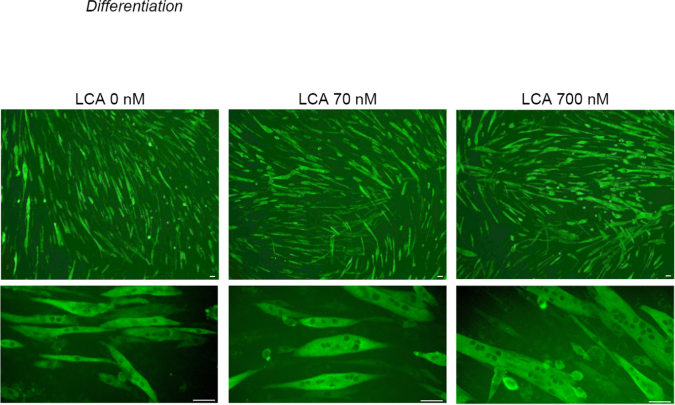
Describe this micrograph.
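These are cultured skeletal muscle myotubes: long, spindle-shaped cells whose cytoplasm is filled evenly with green fluorescence. At low magnification they lie in dense, roughly parallel streams across the dish. At high magnification the nuclei show as dark, unstained oval holes inside the green cytoplasm. Several nuclei often sit in a row within one elongated cell, as expected of fused, multinucleated cells.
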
